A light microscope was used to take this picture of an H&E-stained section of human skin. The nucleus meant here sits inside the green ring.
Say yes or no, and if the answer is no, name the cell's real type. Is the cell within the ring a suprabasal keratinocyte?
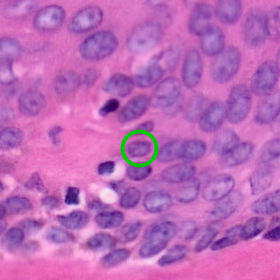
No, it is a basal keratinocyte.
